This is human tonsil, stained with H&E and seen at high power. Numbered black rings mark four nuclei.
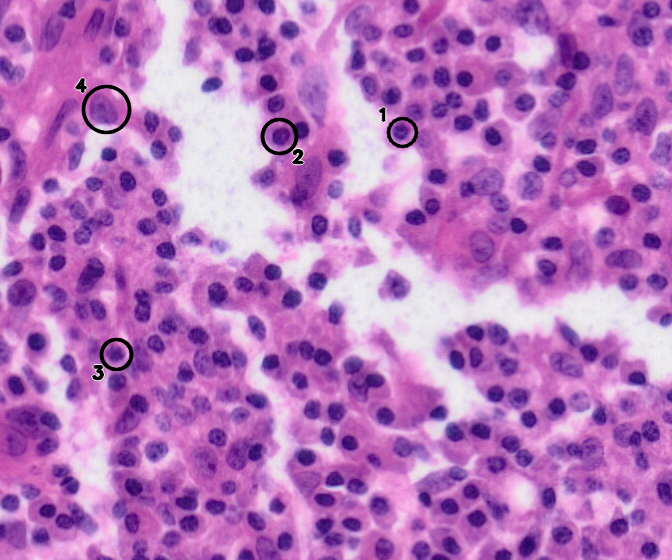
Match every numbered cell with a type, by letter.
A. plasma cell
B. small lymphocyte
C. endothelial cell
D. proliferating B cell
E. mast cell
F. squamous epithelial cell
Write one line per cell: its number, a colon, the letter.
1: A
2: A
3: A
4: F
